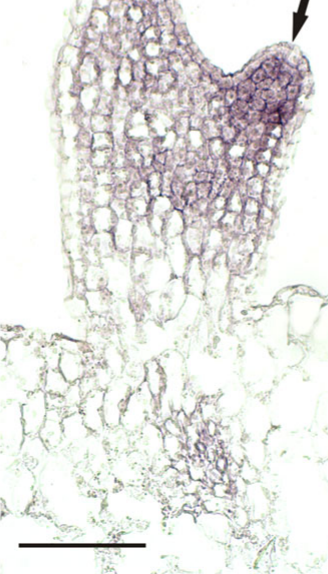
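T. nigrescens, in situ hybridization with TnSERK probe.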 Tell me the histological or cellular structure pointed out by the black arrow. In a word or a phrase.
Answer: Cotyledon.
